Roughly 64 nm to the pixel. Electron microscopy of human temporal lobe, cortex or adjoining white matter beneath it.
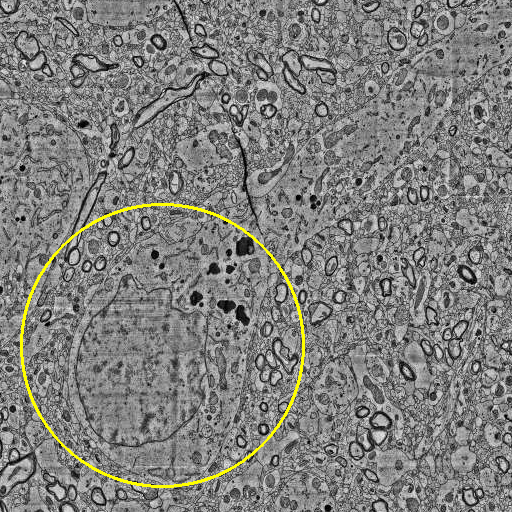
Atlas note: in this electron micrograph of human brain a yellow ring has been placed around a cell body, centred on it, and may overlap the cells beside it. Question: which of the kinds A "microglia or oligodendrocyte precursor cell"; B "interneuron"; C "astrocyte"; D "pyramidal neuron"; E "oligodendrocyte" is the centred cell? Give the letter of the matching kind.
D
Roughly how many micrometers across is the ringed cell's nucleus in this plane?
The ringed cell's nucleus is about 9 micrometres across in this plane.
